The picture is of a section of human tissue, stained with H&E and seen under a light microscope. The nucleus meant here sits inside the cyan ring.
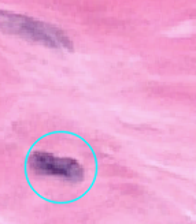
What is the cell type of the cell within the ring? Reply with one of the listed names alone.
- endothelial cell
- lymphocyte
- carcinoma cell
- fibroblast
lymphocyte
